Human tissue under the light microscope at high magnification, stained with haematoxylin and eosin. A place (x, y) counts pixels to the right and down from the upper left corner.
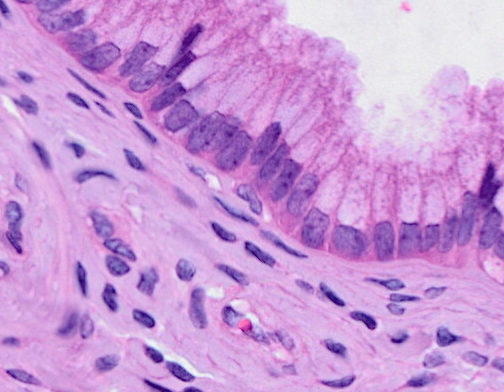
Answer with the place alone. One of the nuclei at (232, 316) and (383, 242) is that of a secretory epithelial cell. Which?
(383, 242)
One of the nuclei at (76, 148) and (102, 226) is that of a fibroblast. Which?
(76, 148)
